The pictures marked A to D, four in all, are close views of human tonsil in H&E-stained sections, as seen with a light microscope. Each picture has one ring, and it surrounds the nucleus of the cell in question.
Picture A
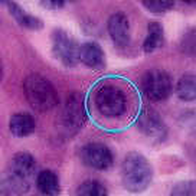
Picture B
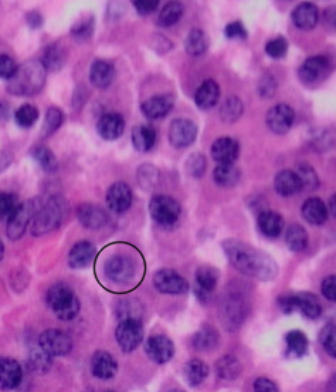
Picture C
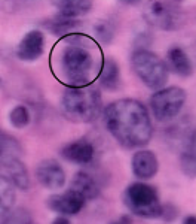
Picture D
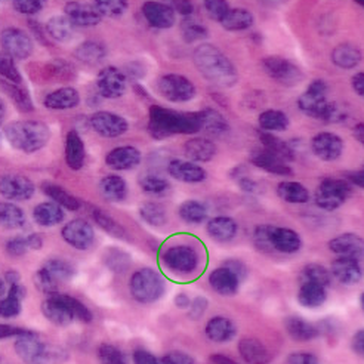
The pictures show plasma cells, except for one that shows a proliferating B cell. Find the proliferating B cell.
C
